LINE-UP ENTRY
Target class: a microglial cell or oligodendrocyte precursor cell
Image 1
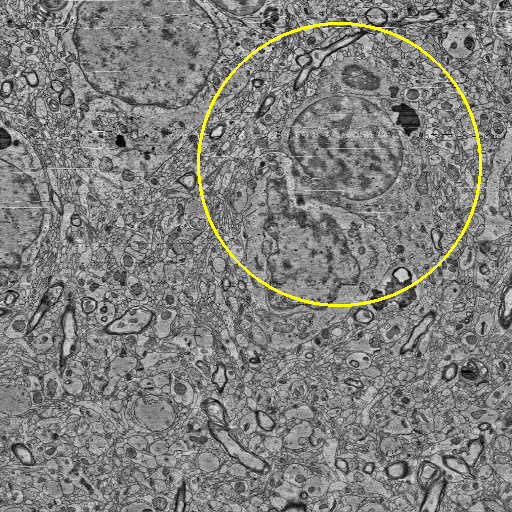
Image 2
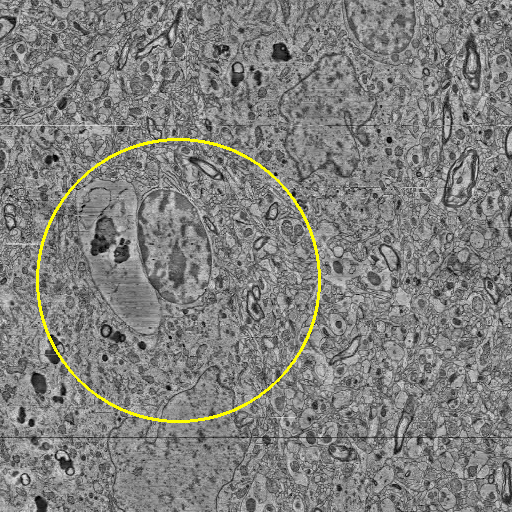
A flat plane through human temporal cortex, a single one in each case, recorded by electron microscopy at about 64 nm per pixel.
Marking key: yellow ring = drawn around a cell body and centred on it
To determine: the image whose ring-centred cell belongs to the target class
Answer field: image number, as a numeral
2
